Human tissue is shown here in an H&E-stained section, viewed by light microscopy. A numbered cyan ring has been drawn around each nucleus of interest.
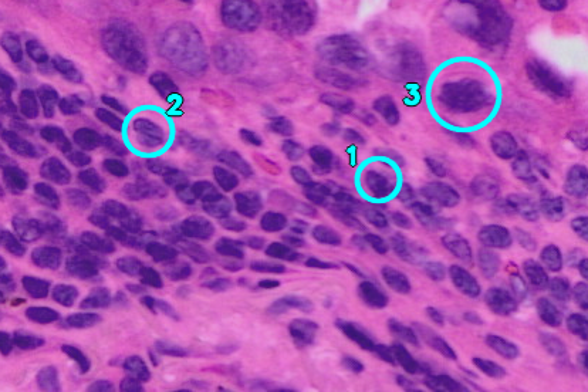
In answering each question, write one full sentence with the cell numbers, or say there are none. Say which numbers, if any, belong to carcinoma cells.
With the exception of cell 3, no marked cell is a carcinoma cell.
